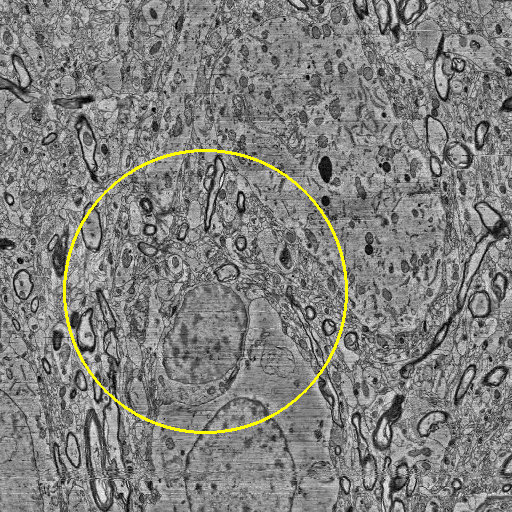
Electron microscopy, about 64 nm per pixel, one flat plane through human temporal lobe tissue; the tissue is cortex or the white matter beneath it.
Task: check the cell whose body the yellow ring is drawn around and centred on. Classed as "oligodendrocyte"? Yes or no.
Yes, it is classed that way.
